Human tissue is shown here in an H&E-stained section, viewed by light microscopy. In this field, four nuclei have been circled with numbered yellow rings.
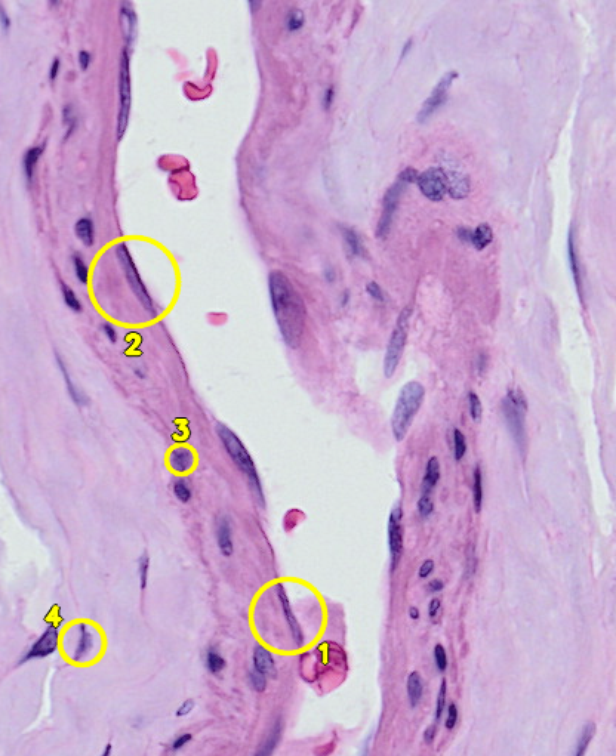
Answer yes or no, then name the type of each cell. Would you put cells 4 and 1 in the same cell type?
No, cell 4 is a fibroblast and cell 1 is an endothelial cell.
